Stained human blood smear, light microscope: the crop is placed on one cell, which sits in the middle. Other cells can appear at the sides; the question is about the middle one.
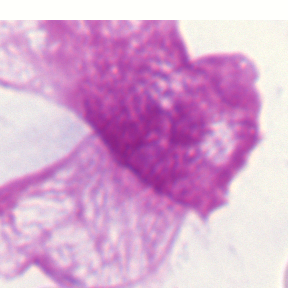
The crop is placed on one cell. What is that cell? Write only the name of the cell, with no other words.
smudge cell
